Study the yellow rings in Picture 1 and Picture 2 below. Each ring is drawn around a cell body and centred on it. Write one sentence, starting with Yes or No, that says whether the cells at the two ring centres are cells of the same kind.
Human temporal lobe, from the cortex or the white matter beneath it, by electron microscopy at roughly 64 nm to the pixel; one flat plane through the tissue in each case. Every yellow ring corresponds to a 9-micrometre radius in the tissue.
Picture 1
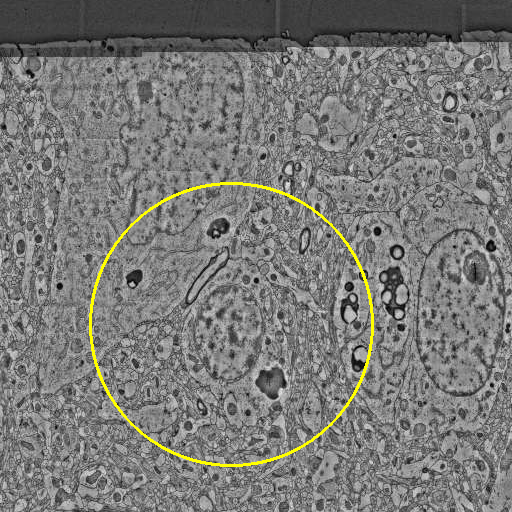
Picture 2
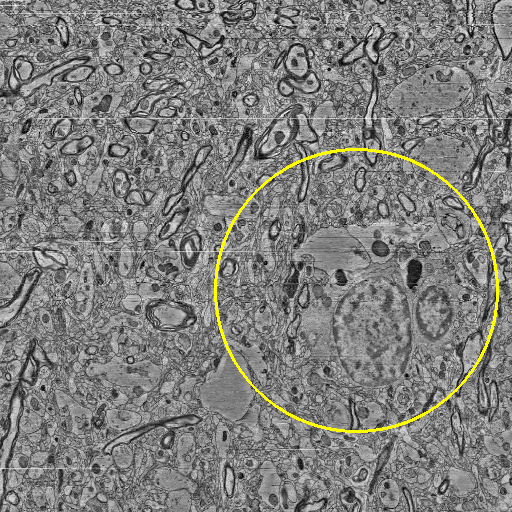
No, the cells at the ring centres are of two kinds.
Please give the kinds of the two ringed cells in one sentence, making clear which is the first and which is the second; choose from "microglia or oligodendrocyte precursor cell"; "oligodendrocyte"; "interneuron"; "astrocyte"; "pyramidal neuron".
In the second picture the ringed cell is an oligodendrocyte; in the first it is an interneuron.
